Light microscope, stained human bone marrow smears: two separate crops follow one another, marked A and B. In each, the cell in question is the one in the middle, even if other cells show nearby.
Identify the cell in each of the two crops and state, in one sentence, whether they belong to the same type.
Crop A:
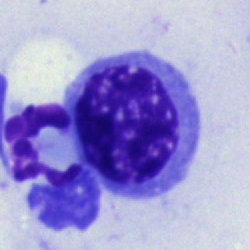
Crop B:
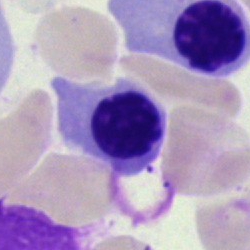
Yes, the cells placed at the centre of both crops are normoblasts.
